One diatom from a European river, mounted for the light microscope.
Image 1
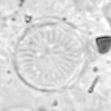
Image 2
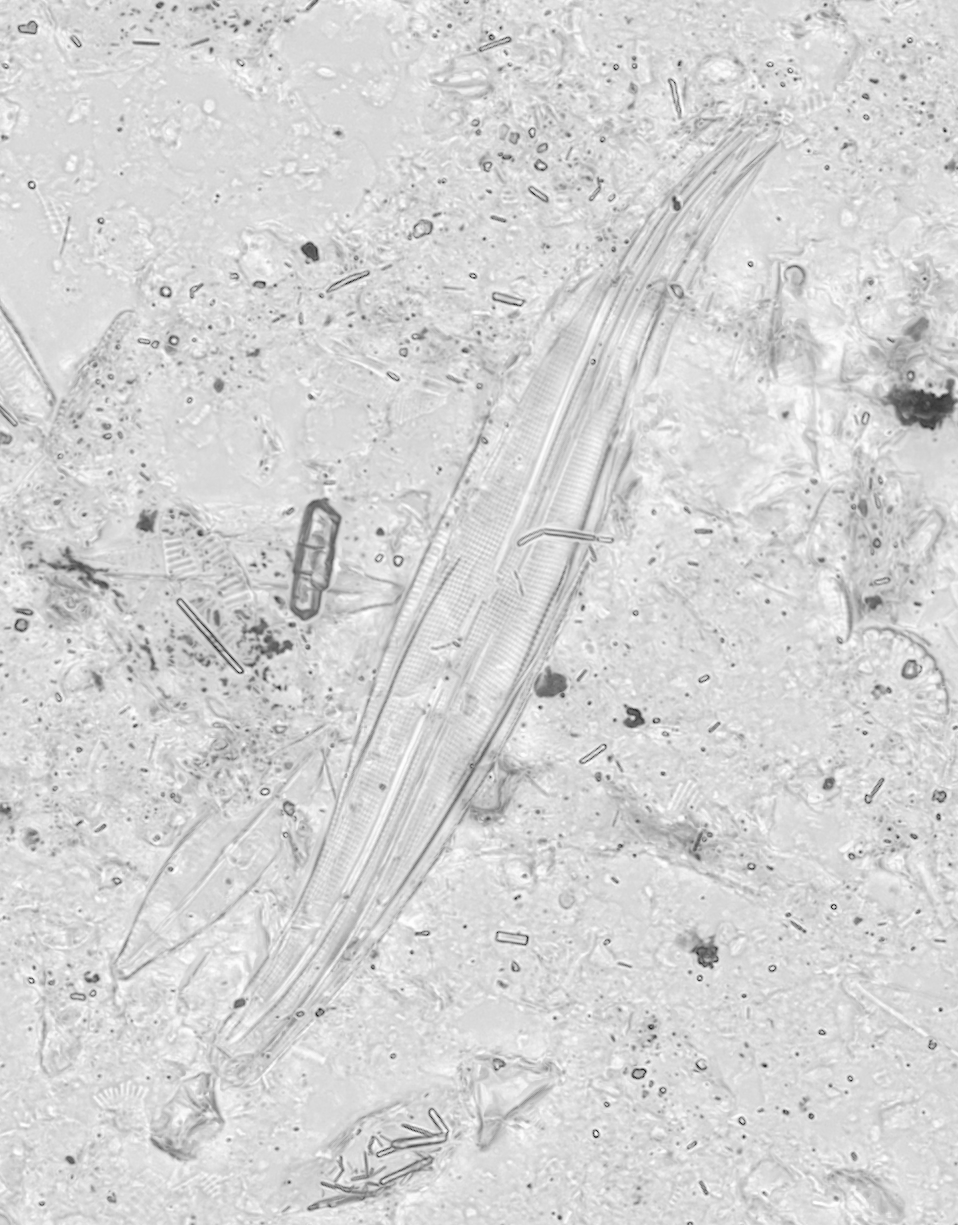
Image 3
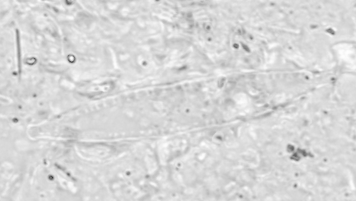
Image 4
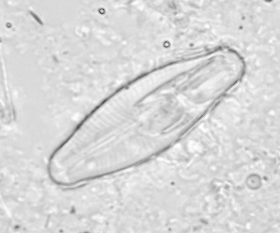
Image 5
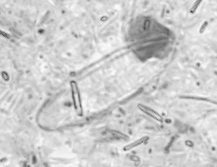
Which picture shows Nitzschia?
Picture 3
